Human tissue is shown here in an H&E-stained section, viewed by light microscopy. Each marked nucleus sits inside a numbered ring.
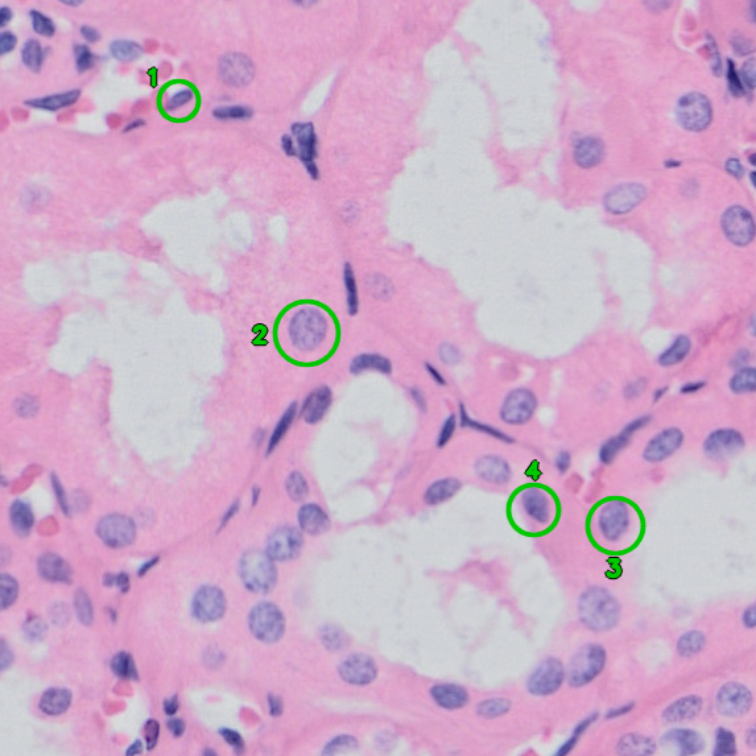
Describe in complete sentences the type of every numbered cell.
Cell 1 is an endothelial cell, cell 2 is a proximal tubule cell, cell 3 is a loop of Henle or distal tubule cell and cell 4 is a loop of Henle or distal tubule cell.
